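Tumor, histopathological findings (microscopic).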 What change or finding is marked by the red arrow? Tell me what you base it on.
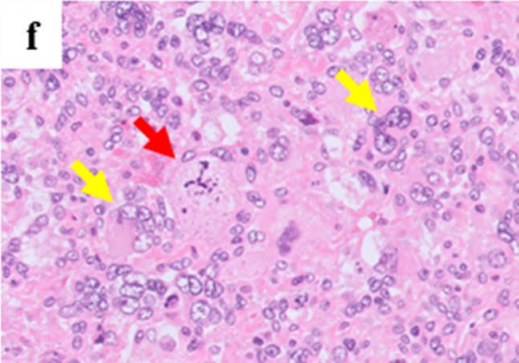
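The arrowed cell shows dark, irregular condensed chromosomes instead of a nucleus. The chromosome mass is irregular rather than a single neat plate.
Conclusion: abnormal mitosis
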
